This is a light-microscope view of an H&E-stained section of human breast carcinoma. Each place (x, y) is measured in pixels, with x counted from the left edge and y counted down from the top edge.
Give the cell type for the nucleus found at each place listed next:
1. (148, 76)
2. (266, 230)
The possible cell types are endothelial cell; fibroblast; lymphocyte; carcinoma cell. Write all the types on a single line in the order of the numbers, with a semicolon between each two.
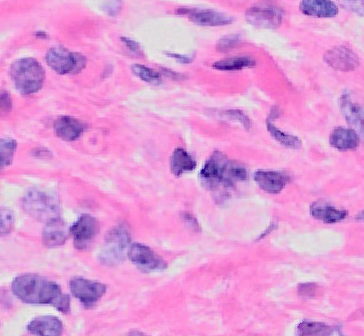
endothelial cell; fibroblast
